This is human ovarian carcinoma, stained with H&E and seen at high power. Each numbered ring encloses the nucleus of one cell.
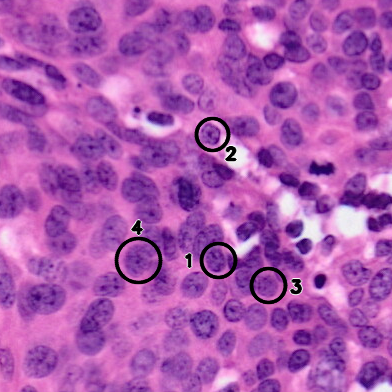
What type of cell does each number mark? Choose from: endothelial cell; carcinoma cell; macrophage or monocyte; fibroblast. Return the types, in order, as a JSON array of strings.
["carcinoma cell", "macrophage or monocyte", "carcinoma cell", "carcinoma cell"]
